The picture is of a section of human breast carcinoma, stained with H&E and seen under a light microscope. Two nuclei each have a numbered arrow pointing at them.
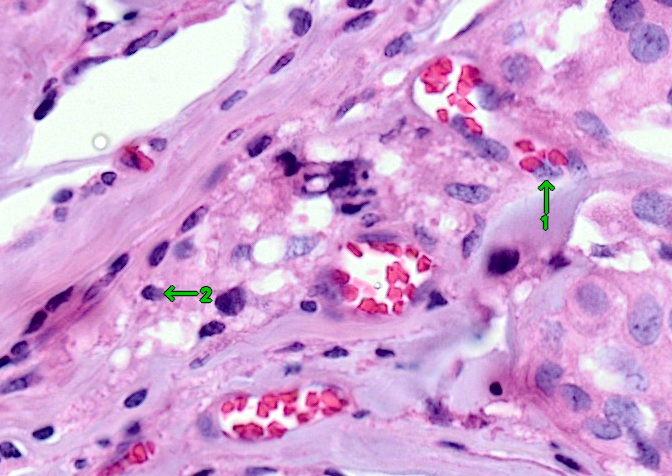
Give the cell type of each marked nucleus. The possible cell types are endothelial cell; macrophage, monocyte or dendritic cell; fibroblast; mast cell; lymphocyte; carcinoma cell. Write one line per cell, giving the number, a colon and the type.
1: endothelial cell
2: lymphocyte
